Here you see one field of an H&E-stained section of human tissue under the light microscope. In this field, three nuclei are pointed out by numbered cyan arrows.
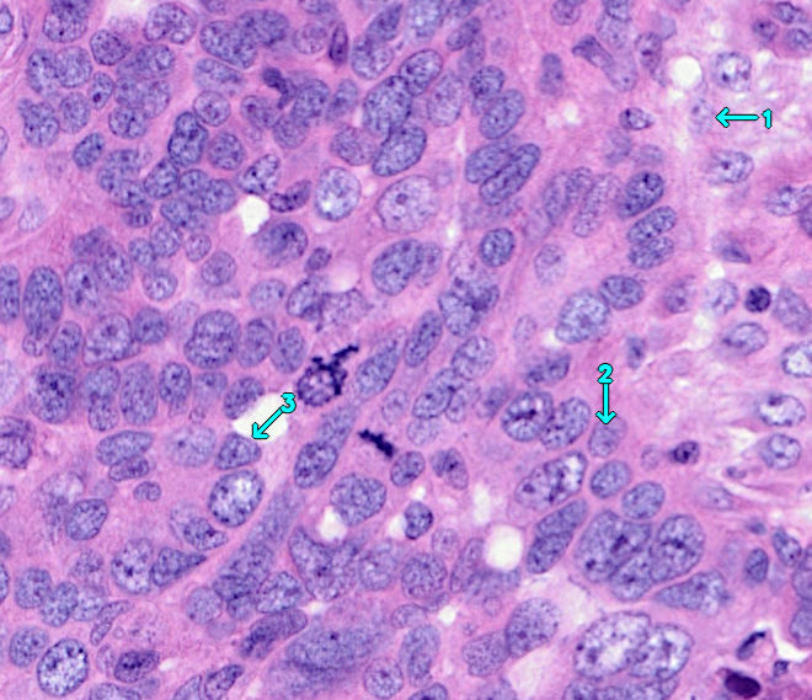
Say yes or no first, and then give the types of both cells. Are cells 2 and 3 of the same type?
Yes, cells 2 and 3 are both carcinoma cells.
